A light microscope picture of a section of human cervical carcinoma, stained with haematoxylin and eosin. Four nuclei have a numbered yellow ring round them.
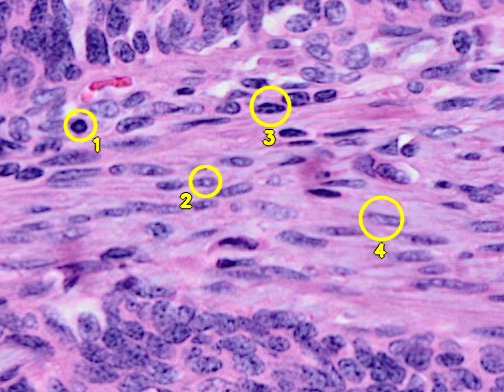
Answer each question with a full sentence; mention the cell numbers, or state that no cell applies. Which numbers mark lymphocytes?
Into the category of lymphocytes fall the cells numbered 1 and 3.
